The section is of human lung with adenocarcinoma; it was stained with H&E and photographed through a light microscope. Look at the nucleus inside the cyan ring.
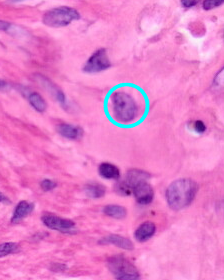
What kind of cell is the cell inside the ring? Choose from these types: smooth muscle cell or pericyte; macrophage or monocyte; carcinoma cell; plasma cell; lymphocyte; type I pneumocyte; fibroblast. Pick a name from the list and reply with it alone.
fibroblast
